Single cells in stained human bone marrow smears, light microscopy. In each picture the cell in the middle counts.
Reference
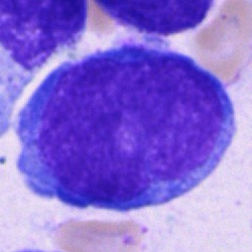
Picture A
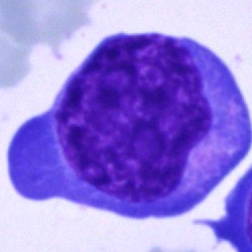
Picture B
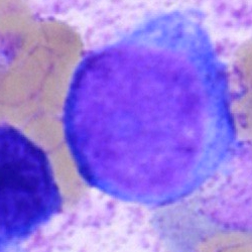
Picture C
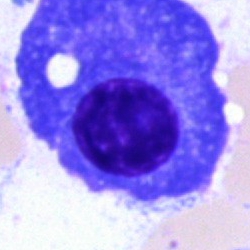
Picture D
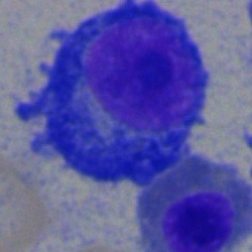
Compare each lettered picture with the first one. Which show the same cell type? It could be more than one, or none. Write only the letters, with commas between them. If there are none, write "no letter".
A, B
